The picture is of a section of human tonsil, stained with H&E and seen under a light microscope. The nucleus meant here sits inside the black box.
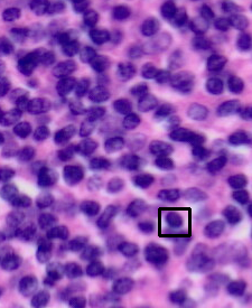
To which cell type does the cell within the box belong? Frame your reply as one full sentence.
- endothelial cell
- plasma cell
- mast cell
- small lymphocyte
It is a small lymphocyte that the cell within the box represents.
